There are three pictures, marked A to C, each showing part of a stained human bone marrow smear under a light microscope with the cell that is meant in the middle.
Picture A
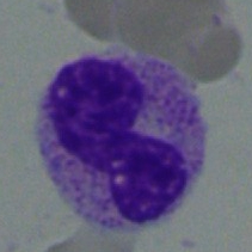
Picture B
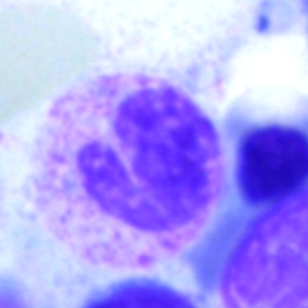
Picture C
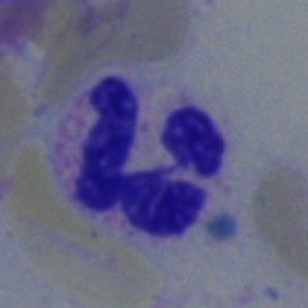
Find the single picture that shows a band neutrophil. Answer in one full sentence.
Picture A shows the band neutrophil.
